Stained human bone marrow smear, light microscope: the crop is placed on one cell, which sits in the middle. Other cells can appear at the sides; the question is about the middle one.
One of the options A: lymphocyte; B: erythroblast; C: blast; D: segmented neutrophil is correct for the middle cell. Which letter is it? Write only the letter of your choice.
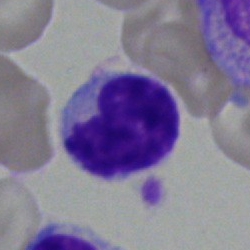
A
